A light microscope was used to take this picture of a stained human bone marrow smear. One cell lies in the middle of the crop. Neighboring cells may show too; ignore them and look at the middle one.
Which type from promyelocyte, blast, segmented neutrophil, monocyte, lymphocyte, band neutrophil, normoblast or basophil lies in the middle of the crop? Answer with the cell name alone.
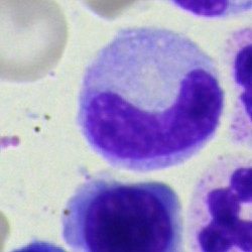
band neutrophil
